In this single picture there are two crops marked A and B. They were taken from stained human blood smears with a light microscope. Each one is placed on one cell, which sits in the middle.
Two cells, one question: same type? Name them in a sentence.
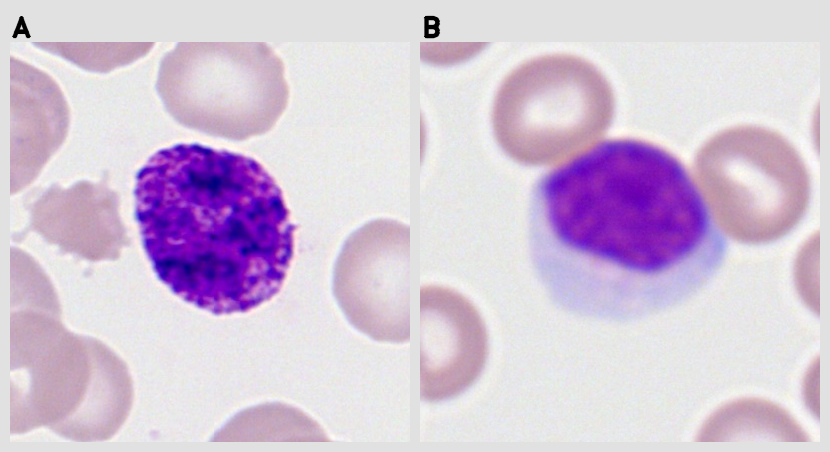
No, the cell centred in crop B is a lymphocyte; crop A centres on a basophil.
